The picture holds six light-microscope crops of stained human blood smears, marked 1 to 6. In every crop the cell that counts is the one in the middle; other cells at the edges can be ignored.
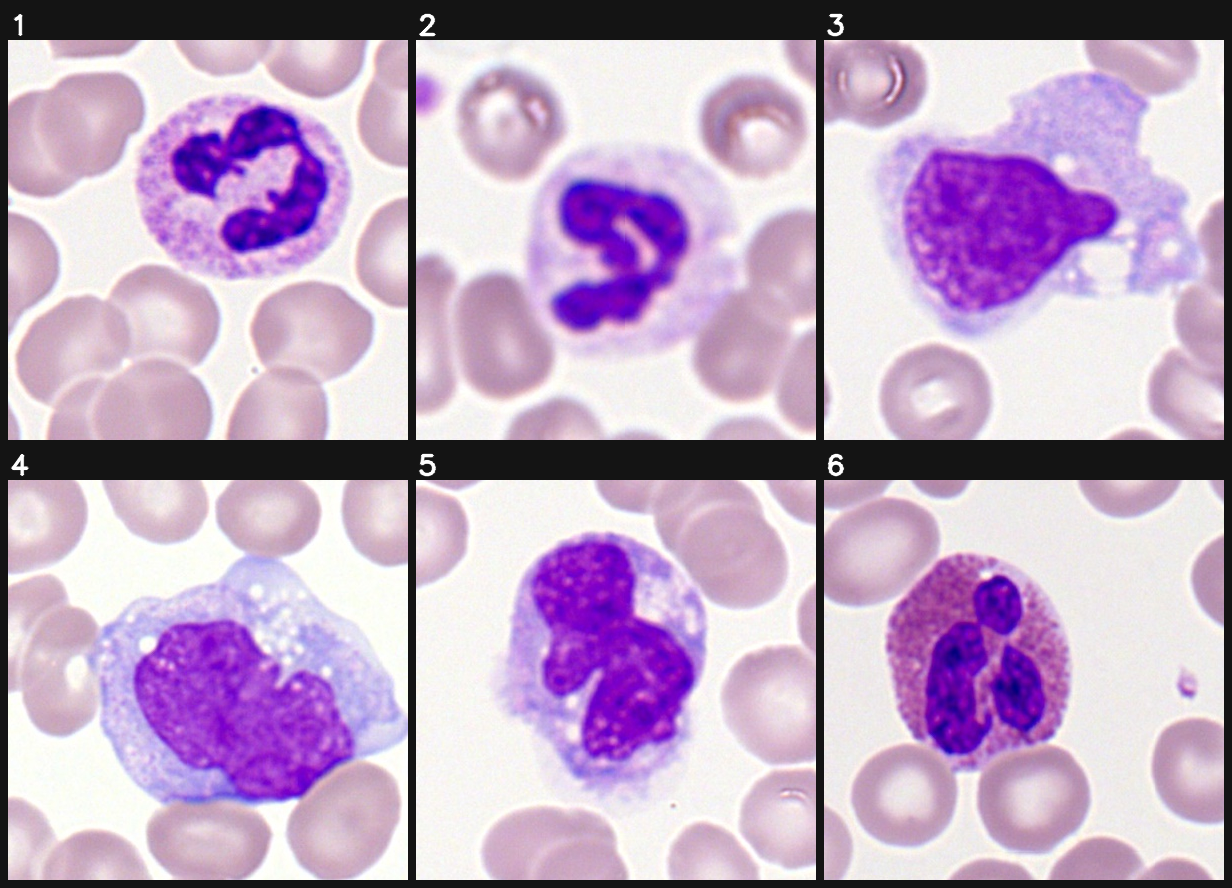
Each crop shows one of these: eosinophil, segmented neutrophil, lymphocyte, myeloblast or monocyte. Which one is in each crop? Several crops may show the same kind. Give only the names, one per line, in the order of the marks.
segmented neutrophil
segmented neutrophil
monocyte
monocyte
monocyte
eosinophil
